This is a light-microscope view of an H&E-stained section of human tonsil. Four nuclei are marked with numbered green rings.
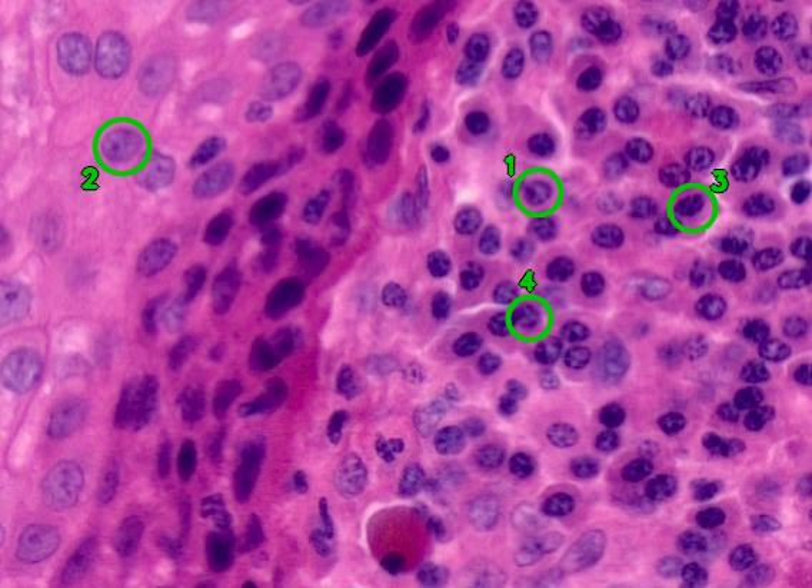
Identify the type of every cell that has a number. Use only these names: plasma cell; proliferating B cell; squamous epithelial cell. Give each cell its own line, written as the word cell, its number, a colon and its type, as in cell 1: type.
cell 1: plasma cell
cell 2: squamous epithelial cell
cell 3: plasma cell
cell 4: plasma cell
